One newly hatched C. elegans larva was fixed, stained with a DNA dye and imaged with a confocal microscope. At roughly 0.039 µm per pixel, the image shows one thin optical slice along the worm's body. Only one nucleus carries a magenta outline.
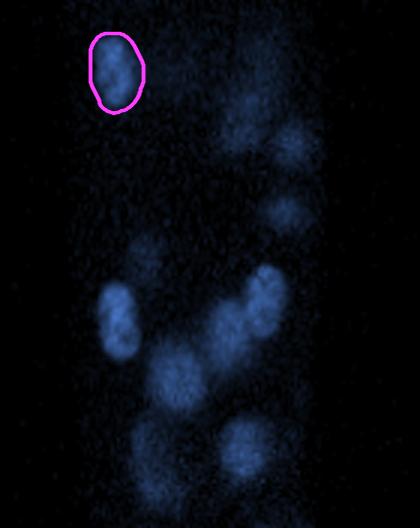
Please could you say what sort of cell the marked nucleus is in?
body wall muscle cell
